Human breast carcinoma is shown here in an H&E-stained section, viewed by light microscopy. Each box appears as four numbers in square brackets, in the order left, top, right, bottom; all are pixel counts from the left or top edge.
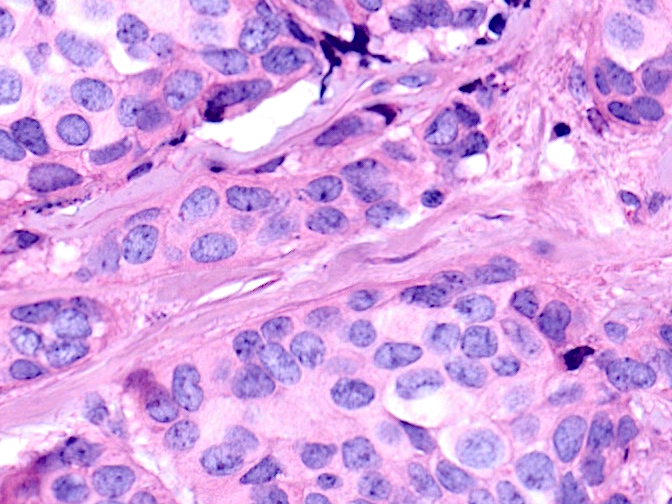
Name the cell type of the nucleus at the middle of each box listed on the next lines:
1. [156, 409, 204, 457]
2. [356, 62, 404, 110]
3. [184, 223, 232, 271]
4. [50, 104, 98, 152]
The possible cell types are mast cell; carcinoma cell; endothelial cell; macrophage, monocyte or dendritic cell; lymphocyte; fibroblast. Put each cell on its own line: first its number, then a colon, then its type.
1: carcinoma cell
2: endothelial cell
3: carcinoma cell
4: carcinoma cell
